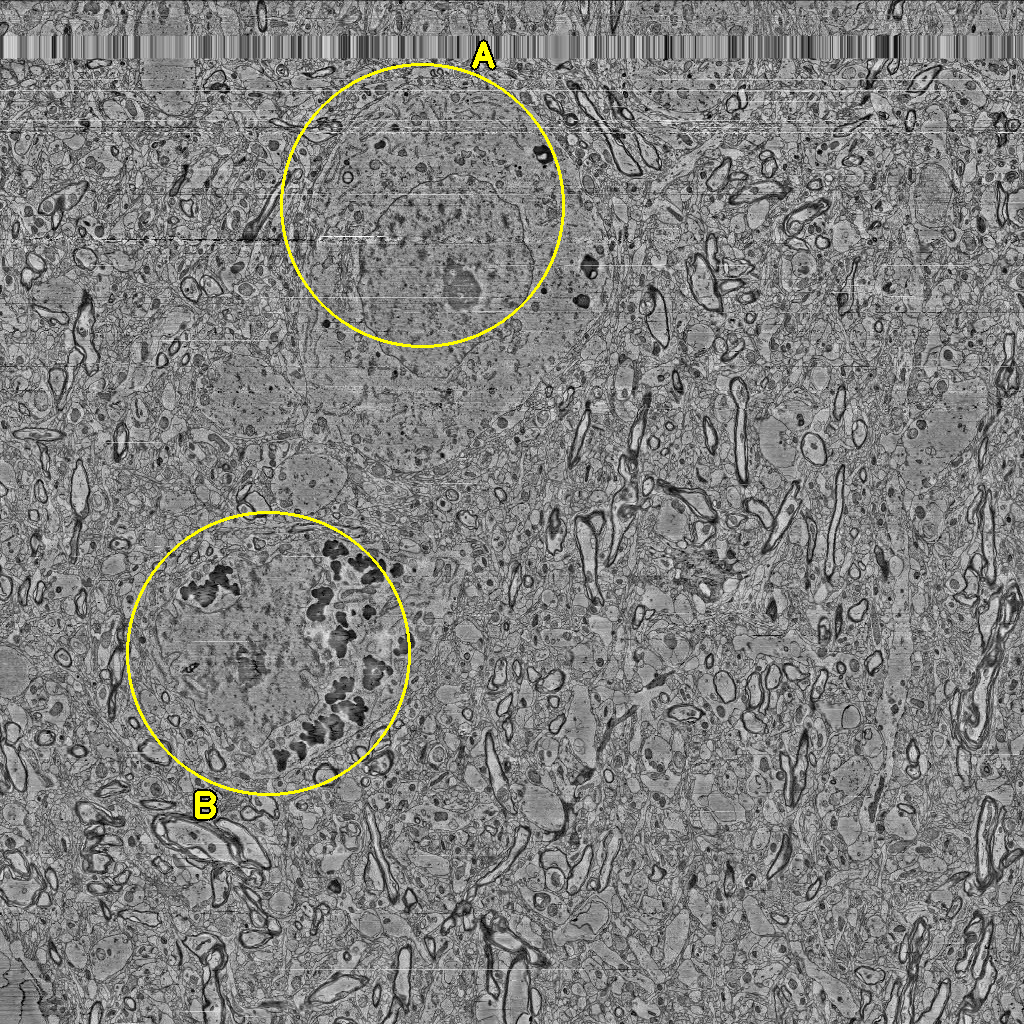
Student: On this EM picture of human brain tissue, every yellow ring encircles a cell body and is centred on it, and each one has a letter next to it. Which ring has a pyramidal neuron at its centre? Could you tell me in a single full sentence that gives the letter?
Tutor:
Ring A is the one drawn around the cell you are asking about.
